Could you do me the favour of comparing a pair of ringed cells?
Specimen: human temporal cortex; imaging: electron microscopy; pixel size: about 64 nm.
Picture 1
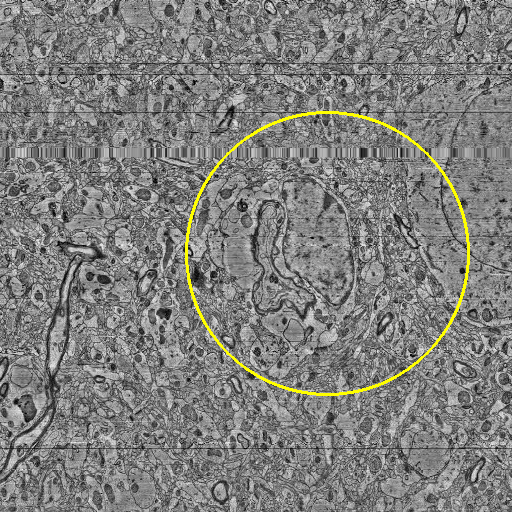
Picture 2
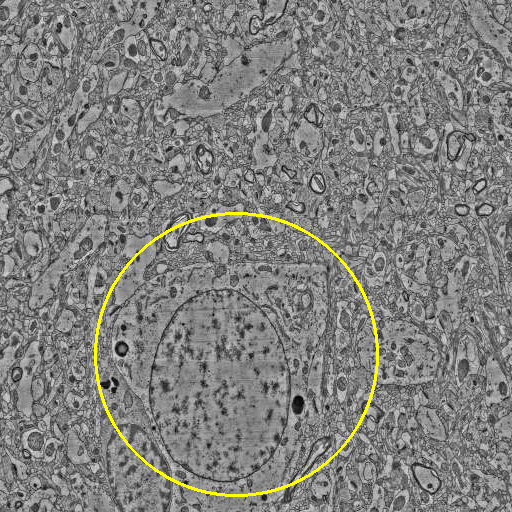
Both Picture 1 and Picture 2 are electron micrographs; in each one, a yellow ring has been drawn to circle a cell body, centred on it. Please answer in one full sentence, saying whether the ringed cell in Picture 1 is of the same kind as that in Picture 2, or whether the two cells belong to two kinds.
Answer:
The ringed cells in Picture 1 and Picture 2 belong to two kinds.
